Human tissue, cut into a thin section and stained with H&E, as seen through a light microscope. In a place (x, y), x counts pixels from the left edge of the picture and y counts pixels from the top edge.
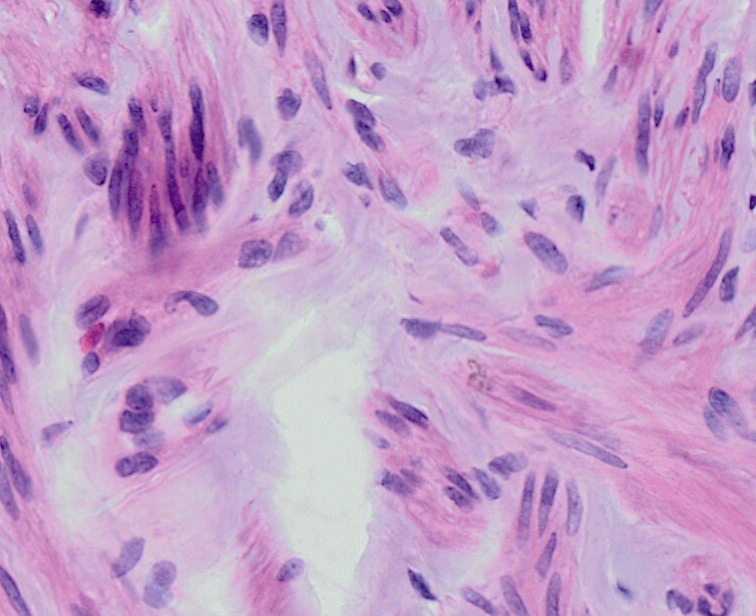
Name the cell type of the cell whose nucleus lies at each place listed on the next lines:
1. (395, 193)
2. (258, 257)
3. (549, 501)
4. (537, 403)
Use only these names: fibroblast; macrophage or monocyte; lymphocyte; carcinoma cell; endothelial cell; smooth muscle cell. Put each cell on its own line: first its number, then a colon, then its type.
1: smooth muscle cell
2: endothelial cell
3: smooth muscle cell
4: smooth muscle cell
